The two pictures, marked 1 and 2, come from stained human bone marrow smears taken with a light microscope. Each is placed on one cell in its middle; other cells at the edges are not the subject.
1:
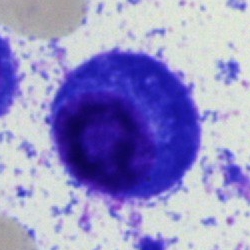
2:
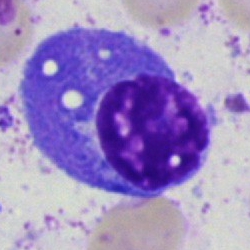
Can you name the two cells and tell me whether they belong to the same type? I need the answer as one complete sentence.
Yes, both crops show plasma cells, and that holds for each one.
